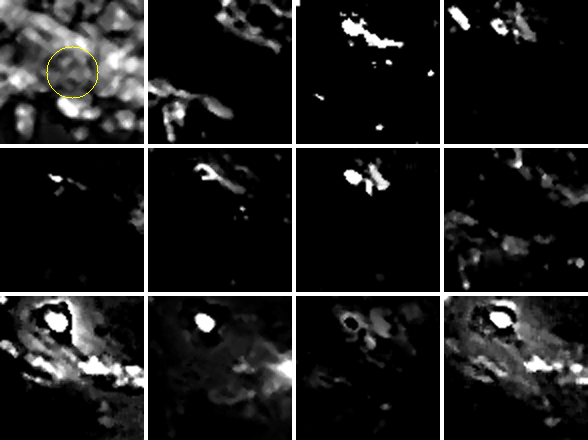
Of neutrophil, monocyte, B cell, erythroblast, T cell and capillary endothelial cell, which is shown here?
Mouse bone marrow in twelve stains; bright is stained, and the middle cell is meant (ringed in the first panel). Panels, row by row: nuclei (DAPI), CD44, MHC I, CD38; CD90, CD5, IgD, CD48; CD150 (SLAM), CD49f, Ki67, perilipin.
T cell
